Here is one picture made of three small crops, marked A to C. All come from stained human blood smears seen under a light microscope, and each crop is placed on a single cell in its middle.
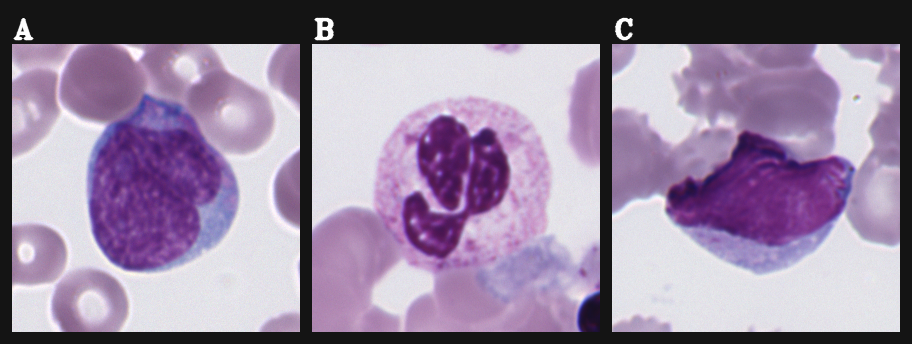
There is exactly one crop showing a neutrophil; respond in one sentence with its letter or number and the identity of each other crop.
Depicted in crop B is a neutrophil, while crop A is an atypical promyelocyte and crop C is a myeloblast.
